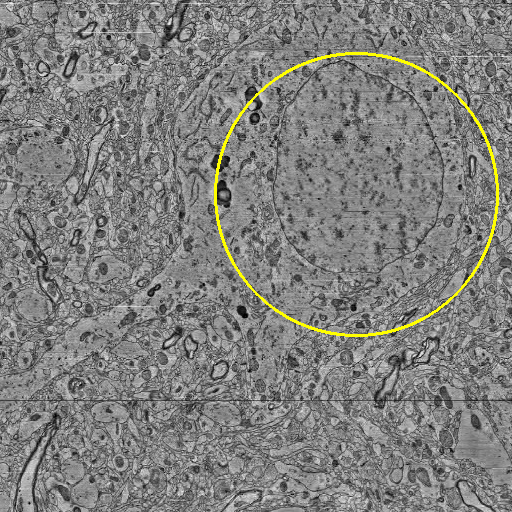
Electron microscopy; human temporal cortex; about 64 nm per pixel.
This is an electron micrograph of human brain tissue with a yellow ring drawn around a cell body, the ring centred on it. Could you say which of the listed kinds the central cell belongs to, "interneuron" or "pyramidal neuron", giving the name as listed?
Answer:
pyramidal neuron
